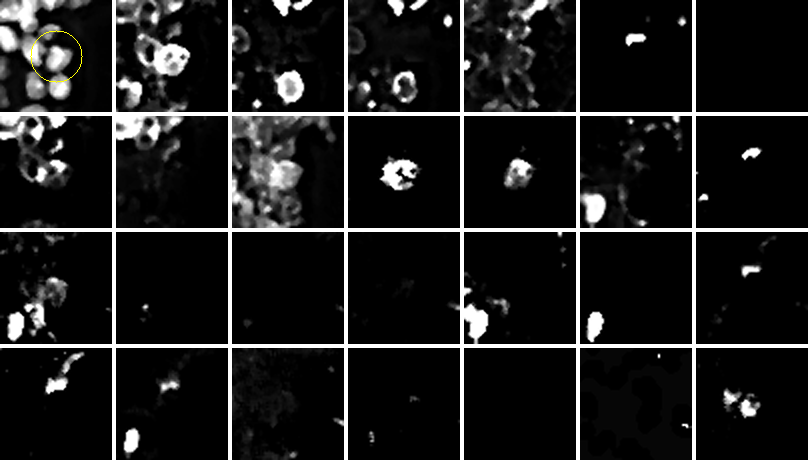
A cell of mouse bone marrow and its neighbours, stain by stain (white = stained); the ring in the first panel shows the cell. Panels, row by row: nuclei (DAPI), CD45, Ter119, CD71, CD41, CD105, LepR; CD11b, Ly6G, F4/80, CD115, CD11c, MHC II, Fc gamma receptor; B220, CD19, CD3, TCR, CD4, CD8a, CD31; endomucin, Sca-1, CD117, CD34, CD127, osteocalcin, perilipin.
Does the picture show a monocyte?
Yes.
